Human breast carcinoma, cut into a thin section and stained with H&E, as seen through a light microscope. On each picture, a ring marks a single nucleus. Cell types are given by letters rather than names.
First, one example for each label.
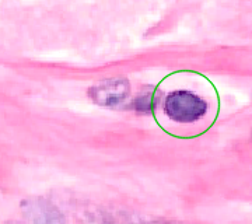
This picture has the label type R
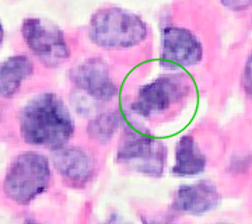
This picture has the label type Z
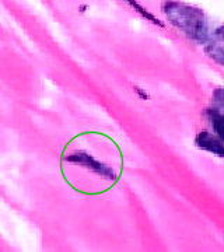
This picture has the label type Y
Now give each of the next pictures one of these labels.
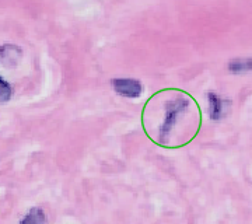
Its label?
type Y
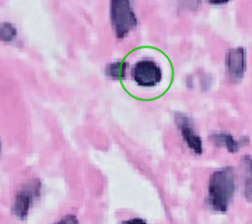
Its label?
type R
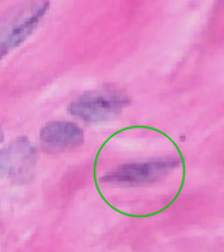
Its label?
type Y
